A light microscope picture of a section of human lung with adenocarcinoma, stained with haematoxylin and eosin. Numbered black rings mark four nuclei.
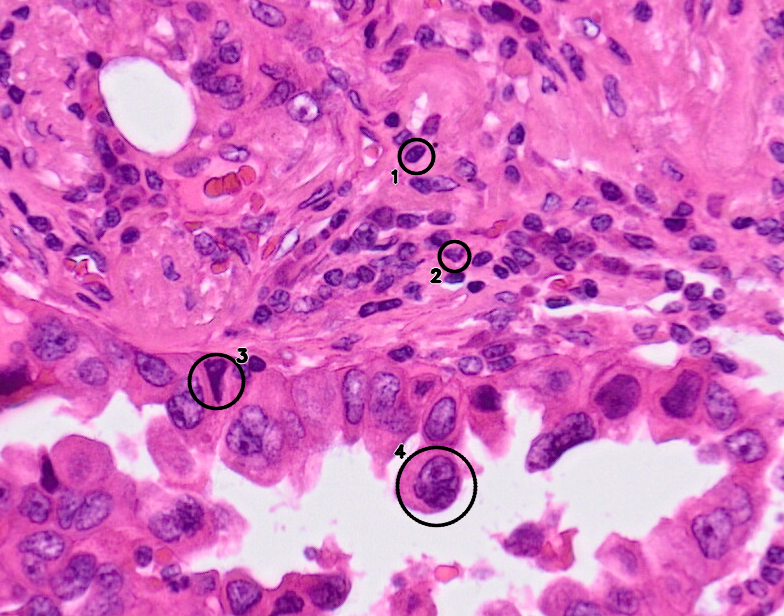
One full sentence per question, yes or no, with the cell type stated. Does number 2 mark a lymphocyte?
Yes, number 2 is assigned to a cell that is a lymphocyte.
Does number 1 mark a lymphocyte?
Yes, with respect to number 1, the cell is a lymphocyte.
